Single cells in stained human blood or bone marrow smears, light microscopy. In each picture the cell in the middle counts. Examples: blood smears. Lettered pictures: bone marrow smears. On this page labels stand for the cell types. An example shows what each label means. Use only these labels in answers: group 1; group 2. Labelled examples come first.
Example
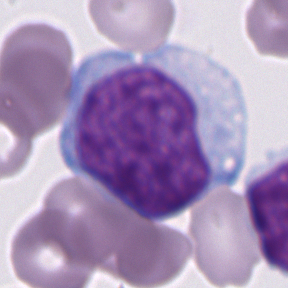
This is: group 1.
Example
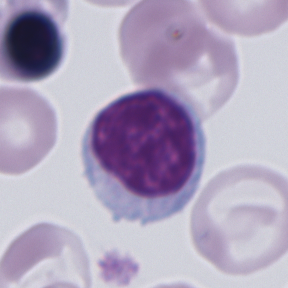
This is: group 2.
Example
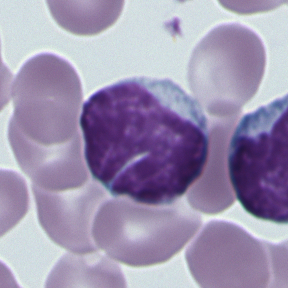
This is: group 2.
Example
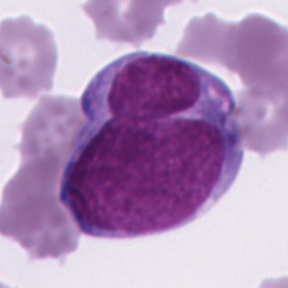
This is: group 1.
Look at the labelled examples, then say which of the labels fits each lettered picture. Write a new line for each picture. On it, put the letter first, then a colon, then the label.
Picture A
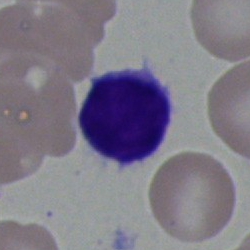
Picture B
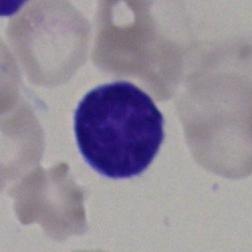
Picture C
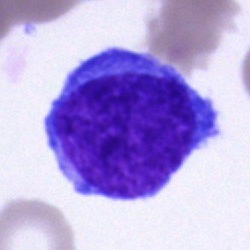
A: group 2.
B: group 2.
C: group 1.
